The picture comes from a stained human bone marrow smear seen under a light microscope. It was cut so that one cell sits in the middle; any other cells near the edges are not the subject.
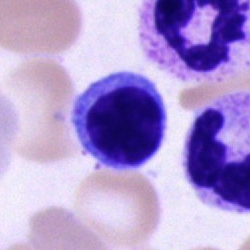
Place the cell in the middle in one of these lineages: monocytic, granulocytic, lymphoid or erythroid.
lymphoid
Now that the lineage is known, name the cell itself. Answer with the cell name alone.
lymphocyte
